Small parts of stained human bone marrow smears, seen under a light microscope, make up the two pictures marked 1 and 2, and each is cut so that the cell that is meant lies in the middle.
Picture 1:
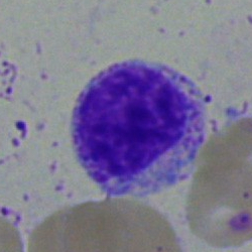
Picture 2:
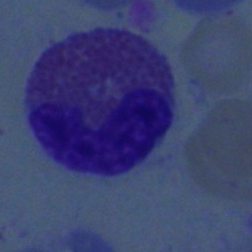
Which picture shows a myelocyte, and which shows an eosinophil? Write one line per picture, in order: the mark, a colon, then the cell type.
1: myelocyte
2: eosinophil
